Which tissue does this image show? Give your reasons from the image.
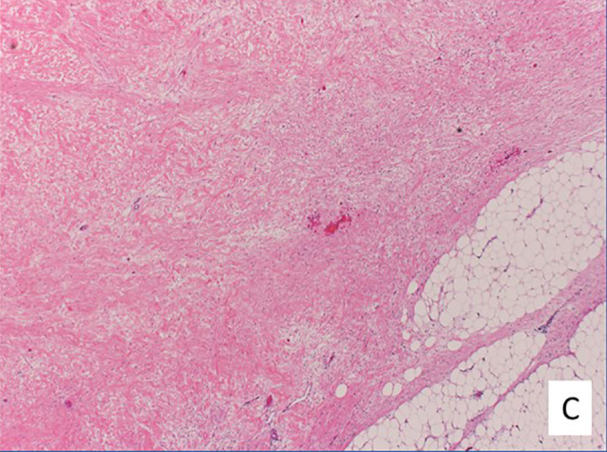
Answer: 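Fibroadipose tissue. Clusters of large empty round fat cells occupy the lower right. Pink fibrous tissue lies beside and between the fat lobules.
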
